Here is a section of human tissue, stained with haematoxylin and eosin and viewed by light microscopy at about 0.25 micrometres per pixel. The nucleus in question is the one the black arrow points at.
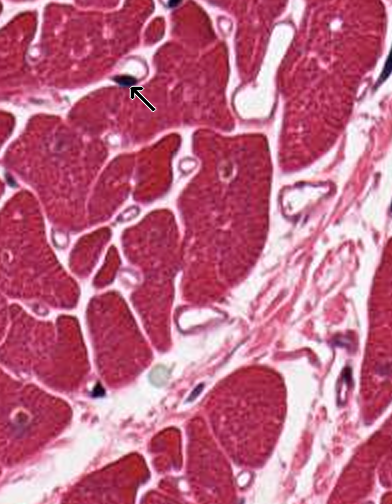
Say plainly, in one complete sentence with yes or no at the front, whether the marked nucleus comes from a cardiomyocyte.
No, a supporting cell rather than a cardiomyocyte is the cell of the marked nucleus.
